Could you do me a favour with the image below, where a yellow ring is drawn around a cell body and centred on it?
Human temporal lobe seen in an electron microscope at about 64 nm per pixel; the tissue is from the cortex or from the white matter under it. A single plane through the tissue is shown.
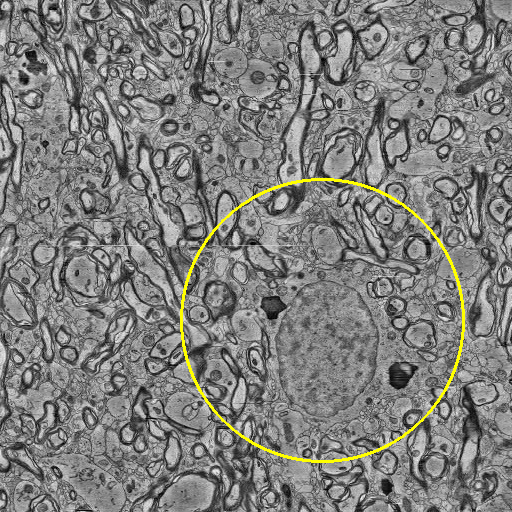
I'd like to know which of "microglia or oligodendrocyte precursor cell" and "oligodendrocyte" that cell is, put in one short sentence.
The cell at the ring's centre is an oligodendrocyte.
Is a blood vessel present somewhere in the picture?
No, no blood vessel shows in the picture.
